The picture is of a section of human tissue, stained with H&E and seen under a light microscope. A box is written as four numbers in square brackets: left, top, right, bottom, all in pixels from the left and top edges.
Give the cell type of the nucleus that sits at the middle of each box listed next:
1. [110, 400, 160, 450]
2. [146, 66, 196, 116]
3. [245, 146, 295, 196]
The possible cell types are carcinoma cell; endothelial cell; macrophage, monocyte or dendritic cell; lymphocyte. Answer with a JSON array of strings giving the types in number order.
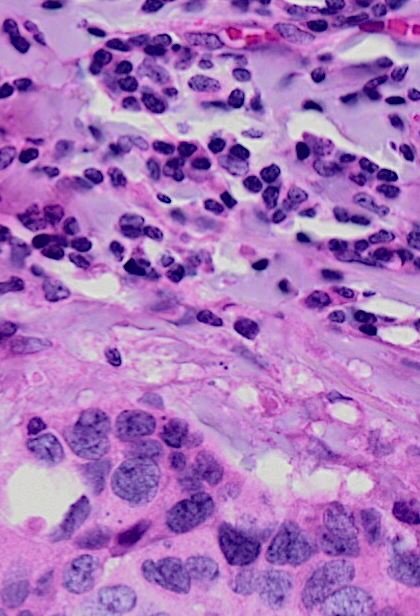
["carcinoma cell", "lymphocyte", "lymphocyte"]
